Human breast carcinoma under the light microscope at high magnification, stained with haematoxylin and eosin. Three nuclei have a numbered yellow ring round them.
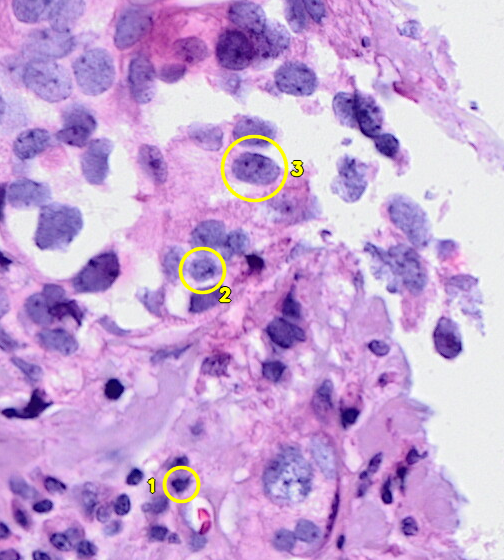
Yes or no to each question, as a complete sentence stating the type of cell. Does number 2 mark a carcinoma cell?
Yes, cell number 2 in this section is a carcinoma cell.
